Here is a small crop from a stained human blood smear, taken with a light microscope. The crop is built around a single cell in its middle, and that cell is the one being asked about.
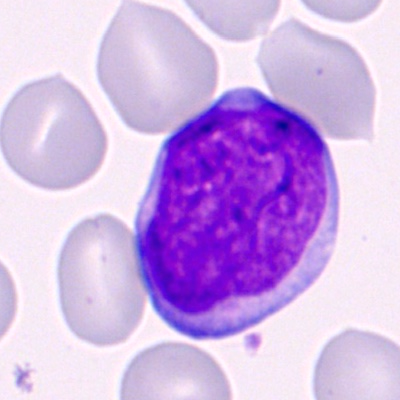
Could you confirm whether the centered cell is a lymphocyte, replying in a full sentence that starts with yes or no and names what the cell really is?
No, the central cell is counted as a myeloblast instead of a lymphocyte.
